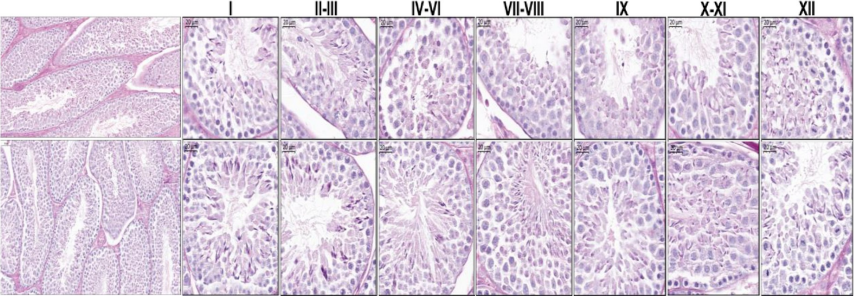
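These are sections of testis, with seminiferous tubules cut across and along, stained pink and purple. Each tubule is lined by a thick epithelium of germ cells in layers, with larger round-nucleated spermatocytes in the middle layers and small round spermatids nearer the lumen. In several of the close-up images, slender dark elongated spermatid heads lie grouped near the lumen, with pale tails streaming into it.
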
